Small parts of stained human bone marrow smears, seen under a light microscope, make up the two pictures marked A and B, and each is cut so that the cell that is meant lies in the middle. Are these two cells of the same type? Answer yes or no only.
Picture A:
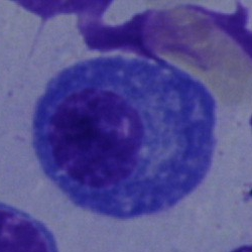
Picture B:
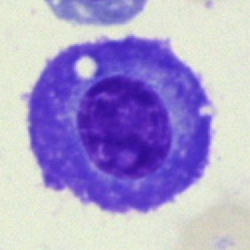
yes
